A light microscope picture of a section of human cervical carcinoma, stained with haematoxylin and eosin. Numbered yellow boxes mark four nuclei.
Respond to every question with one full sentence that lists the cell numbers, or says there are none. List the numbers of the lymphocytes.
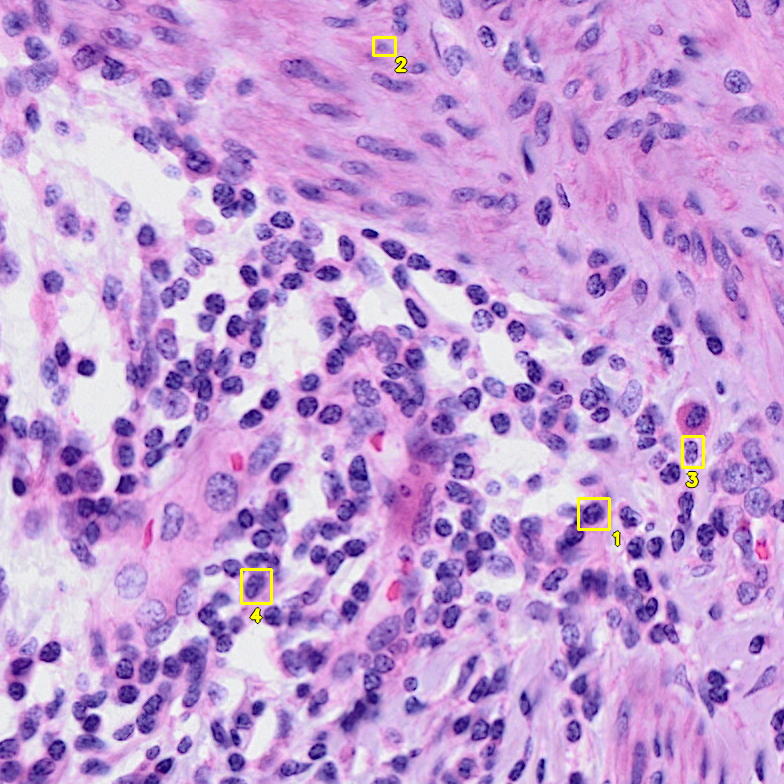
The cells identified by the numbers 1, 3 and 4 are lymphocytes.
